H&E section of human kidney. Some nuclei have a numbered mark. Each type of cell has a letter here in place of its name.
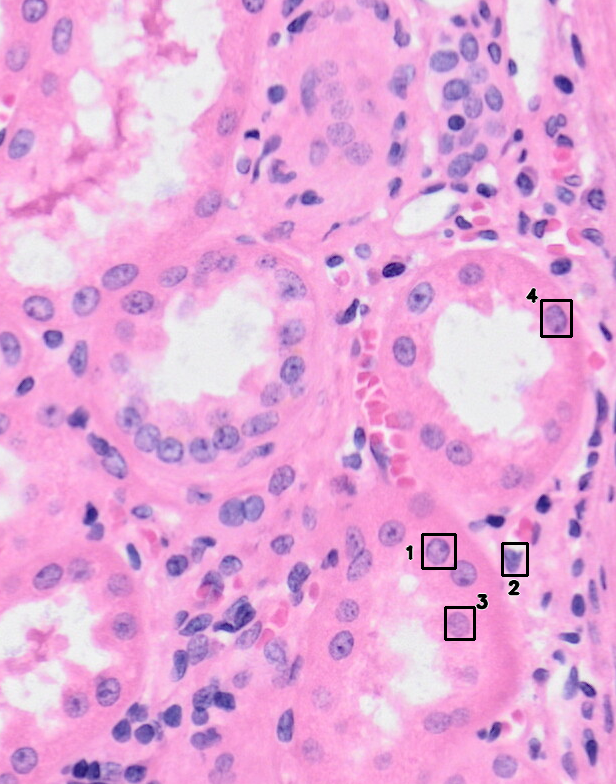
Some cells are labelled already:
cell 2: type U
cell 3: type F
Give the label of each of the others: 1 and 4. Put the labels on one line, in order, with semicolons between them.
type F; type F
